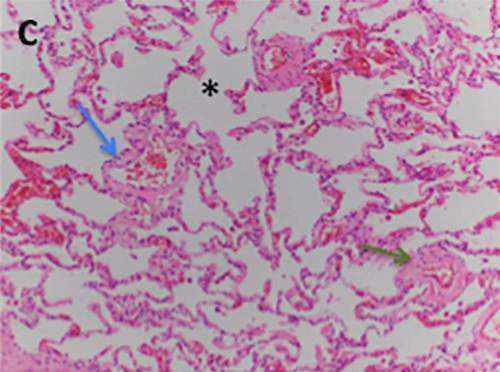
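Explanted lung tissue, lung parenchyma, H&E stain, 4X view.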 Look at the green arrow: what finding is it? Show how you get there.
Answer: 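A small artery has a thick muscular wall relative to its narrow lumen. On this evidence: artery medial hypertrophy.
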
